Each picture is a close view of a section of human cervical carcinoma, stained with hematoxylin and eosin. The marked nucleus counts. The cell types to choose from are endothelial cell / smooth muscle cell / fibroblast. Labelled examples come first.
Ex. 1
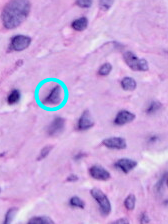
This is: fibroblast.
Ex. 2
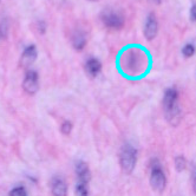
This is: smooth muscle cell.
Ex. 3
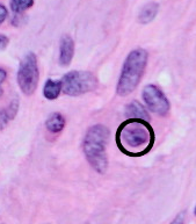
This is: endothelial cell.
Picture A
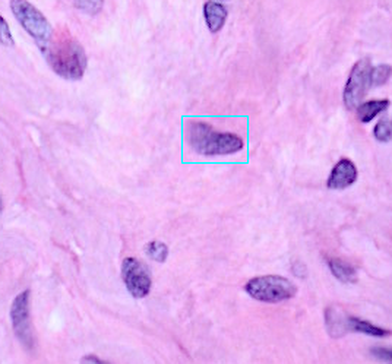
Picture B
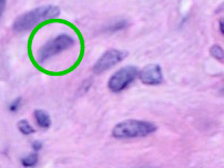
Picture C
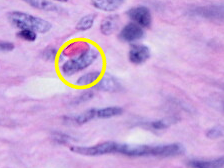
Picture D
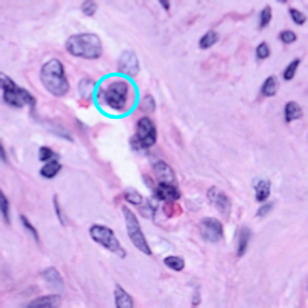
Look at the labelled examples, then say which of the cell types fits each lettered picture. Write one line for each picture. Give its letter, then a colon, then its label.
A: fibroblast.
B: fibroblast.
C: endothelial cell.
D: endothelial cell.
